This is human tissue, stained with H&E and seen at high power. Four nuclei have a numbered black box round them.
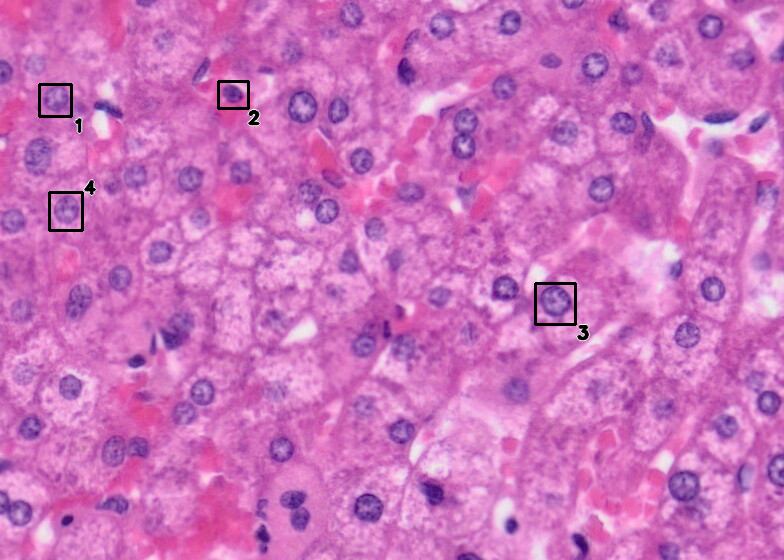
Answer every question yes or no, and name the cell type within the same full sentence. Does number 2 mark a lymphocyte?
Yes, the cell that bears number 2 is a lymphocyte.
